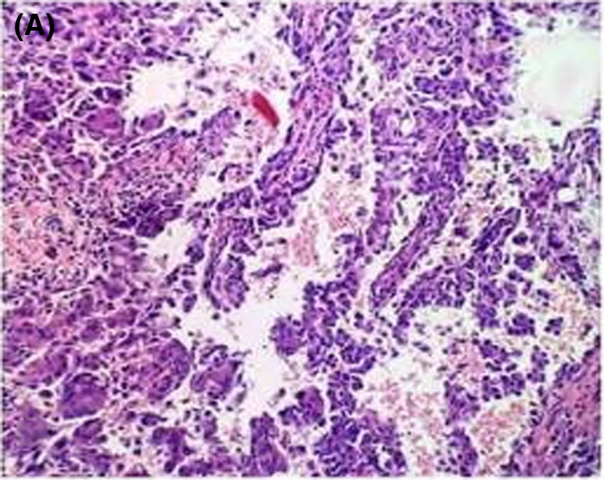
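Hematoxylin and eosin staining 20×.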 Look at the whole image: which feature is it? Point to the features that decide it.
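Vascular areas. Open spaces lie between cords and clusters of tumour cells. Some of the spaces contain pink-red blood cells.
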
